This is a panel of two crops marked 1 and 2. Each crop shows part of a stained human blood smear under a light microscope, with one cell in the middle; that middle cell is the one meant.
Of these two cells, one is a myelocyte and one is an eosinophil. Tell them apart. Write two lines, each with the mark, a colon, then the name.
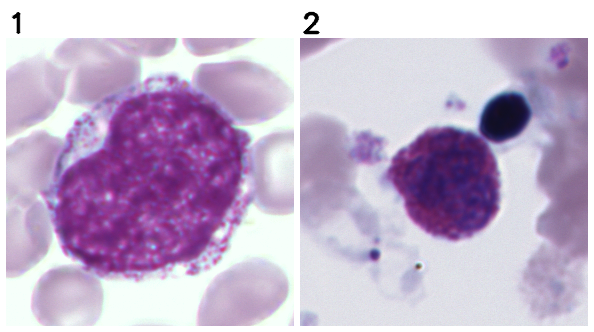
1: myelocyte
2: eosinophil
